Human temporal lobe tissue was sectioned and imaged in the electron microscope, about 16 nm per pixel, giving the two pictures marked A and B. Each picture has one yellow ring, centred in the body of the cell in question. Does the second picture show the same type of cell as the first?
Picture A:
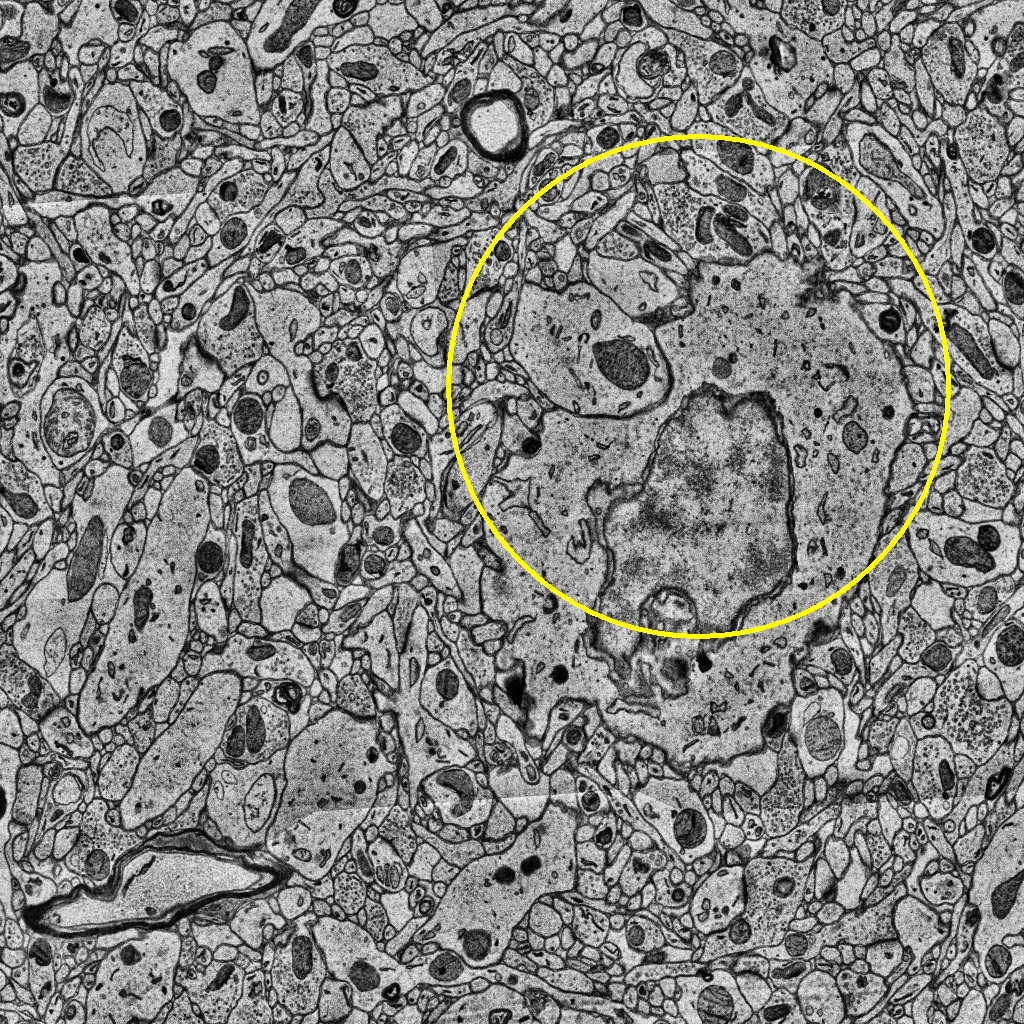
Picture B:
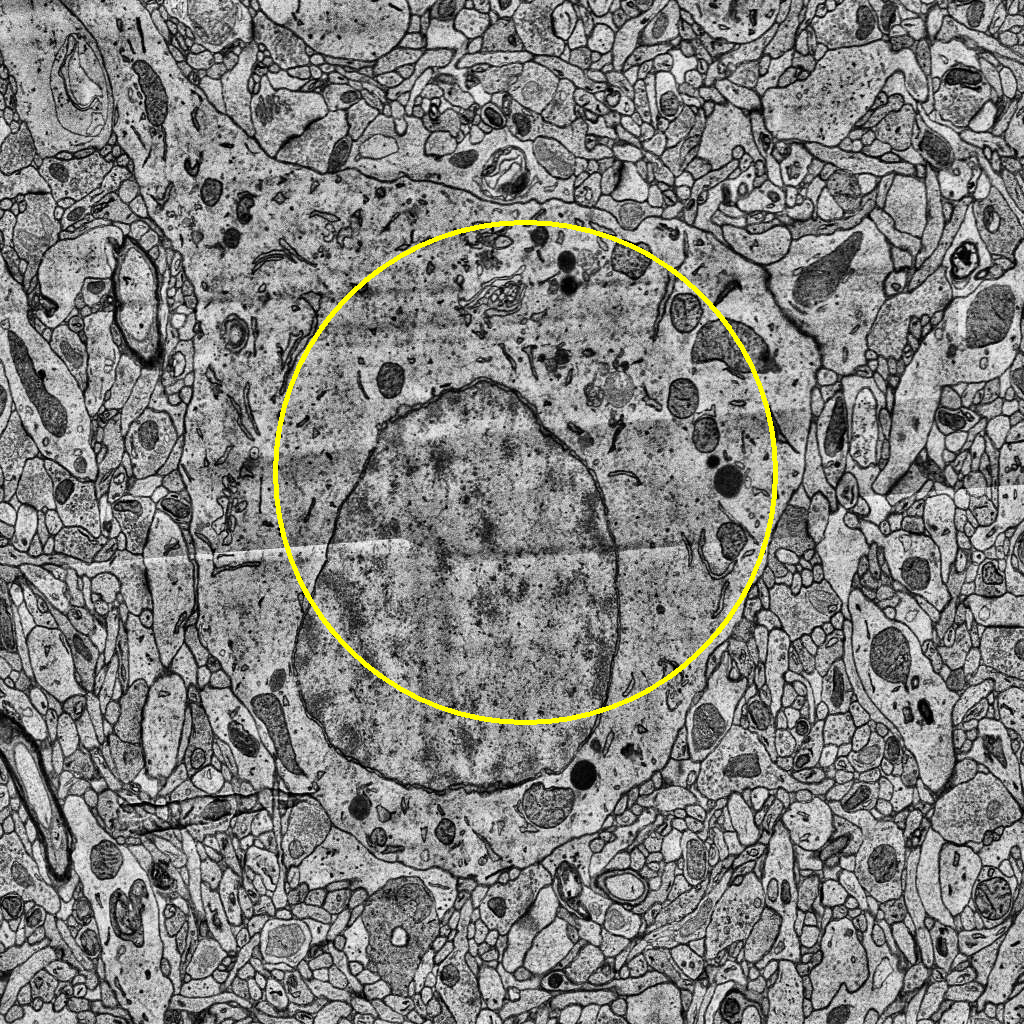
No. Picture A shows an interneuron, but picture B shows a pyramidal neuron.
